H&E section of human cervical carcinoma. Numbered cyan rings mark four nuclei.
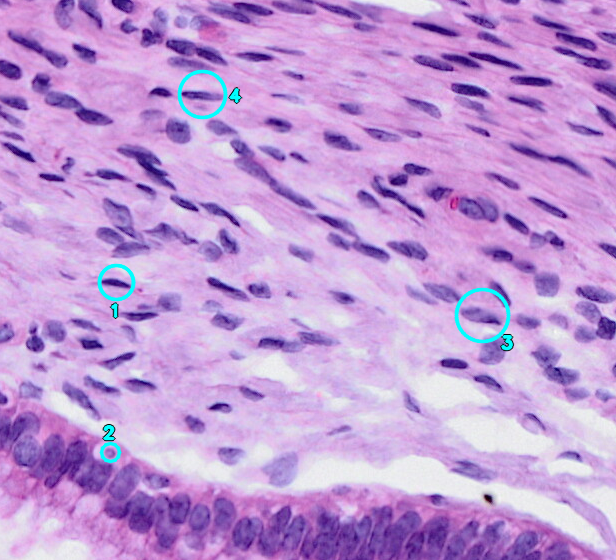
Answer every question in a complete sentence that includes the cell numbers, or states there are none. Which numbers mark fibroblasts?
Classified as fibroblasts are the cells numbered 1, 3 and 4.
